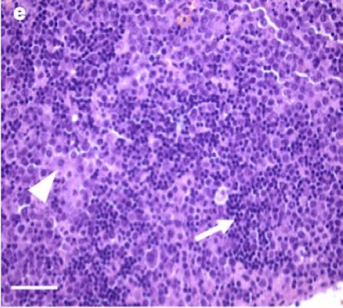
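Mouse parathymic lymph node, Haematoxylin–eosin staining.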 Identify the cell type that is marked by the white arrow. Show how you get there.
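Residual normal lymphocytes. The arrow points into a cluster of small, round, densely dark-purple nuclei. These cells have very little cytoplasm. They are packed more tightly than the larger pale cells around them.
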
